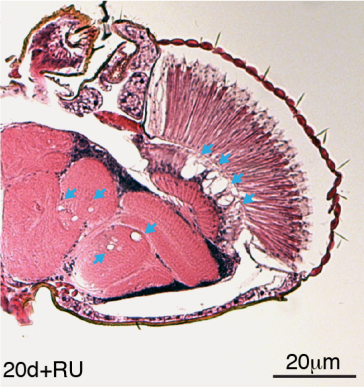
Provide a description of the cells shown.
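This is a section through an adult fly brain, with pink fibrous tissue in the centre rimmed by a darker purple band of densely packed nuclei. Scattered through the pink tissue, and in a row along its outer edge beside the finely striated eye region, are many round, empty white holes of different sizes: vacuoles that break up the otherwise continuous tissue.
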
